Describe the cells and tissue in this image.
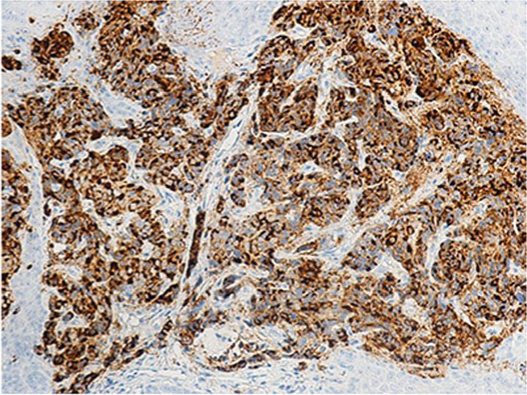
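Nests and trabeculae of tumour cells show strong brown staining of their cytoplasm throughout almost the entire tumour. The stained nests are separated by thin, pale bluish fibrous stroma that is not stained.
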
